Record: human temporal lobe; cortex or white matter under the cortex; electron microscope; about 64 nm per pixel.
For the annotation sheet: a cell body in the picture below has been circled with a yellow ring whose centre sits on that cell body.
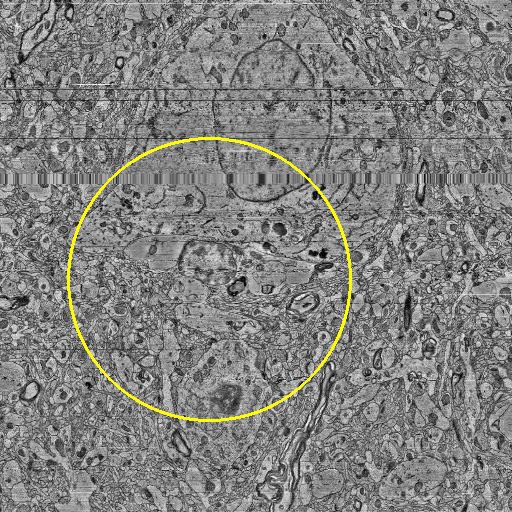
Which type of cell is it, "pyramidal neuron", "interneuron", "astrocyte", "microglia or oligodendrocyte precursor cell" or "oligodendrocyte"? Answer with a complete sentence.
The circled cell is a microglial cell or oligodendrocyte precursor cell.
